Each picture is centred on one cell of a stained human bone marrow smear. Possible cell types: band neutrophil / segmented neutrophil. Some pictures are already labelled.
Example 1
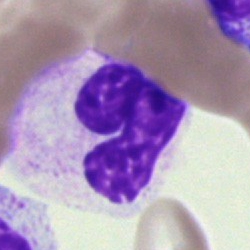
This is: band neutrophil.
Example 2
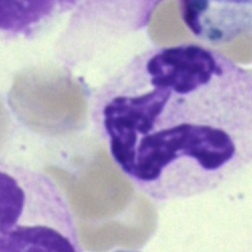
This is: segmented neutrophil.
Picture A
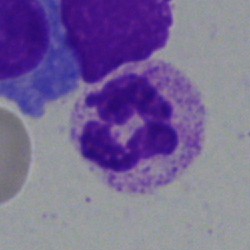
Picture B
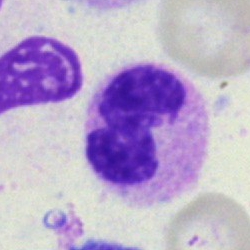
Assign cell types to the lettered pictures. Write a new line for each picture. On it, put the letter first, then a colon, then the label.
A: segmented neutrophil.
B: segmented neutrophil.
